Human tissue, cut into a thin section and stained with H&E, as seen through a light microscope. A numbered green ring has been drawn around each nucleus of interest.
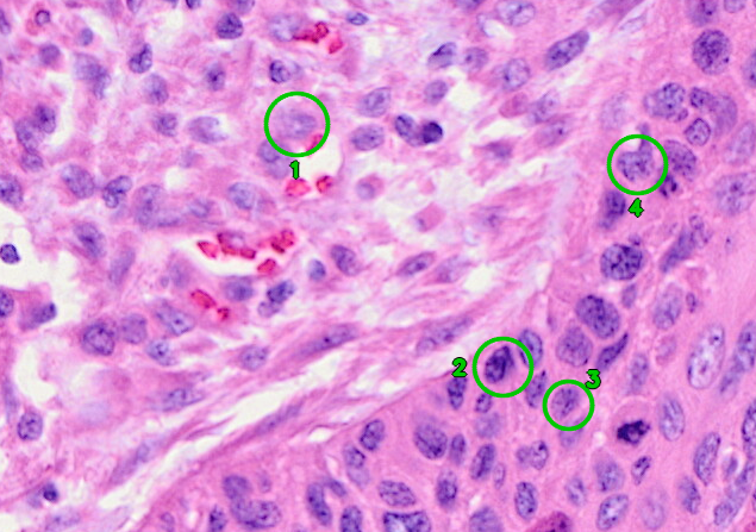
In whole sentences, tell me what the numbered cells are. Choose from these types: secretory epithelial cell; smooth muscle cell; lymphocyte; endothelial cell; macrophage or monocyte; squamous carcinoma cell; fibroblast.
Cell 1 is an endothelial cell, cell 2 is a squamous carcinoma cell, cell 3 is a squamous carcinoma cell and cell 4 is a squamous carcinoma cell.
